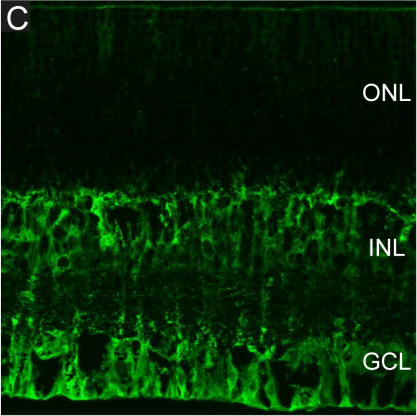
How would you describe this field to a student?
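Cross-section of retina showing green Müller cells extending through the retinal layers. Radial green processes rise from broad end-feet forming a bright line at the inner surface at the bottom, pass through the ganglion cell layer, where they outline dark unstained spaces, and continue through the inner nuclear layer, where they form a dense meshwork around unstained nuclear spaces. Fainter, thin vertical fibres continue through the outer nuclear layer and end at a fine green line near the top. The outer nuclear layer itself is only weakly stained. No nuclear counterstain is shown.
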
